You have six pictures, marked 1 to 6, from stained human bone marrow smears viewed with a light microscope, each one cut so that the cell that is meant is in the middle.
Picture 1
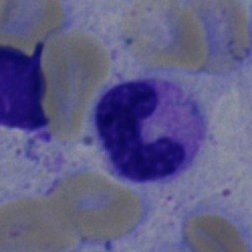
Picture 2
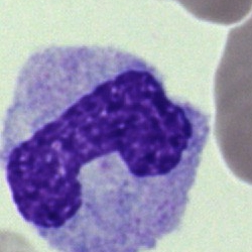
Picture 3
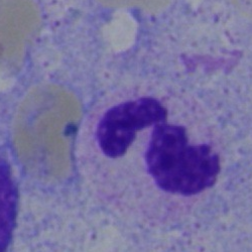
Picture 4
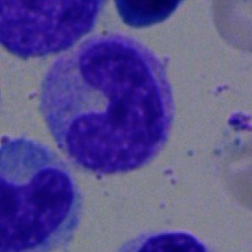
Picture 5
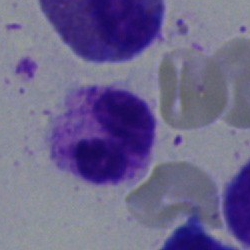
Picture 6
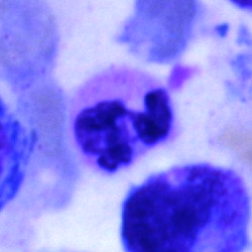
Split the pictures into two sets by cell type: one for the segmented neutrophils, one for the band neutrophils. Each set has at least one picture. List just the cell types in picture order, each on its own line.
band neutrophil
band neutrophil
segmented neutrophil
band neutrophil
segmented neutrophil
segmented neutrophil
